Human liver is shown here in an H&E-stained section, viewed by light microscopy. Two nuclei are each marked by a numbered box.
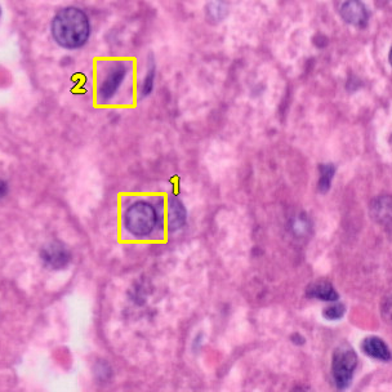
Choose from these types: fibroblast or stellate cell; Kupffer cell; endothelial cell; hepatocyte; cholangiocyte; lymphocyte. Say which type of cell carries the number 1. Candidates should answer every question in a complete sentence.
The numbered cell 1 is identified here as a hepatocyte.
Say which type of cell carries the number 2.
The cell with the number 2 is a fibroblast or stellate cell.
